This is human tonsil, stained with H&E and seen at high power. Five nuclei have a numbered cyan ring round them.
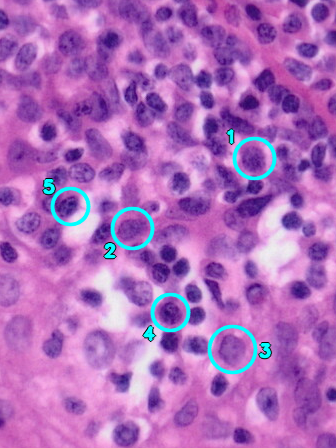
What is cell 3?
squamous epithelial cell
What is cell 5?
plasma cell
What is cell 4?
plasma cell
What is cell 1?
squamous epithelial cell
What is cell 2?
squamous epithelial cell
